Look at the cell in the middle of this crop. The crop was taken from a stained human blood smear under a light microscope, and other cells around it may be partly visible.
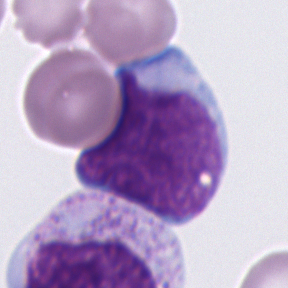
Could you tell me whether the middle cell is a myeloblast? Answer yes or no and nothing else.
yes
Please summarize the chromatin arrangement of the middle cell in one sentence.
The chromatin pattern is fine and free of coarse clumps.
